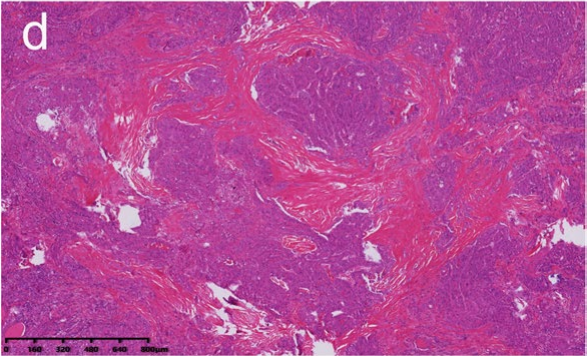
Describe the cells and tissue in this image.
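At low magnification this tumor tissue shows densely packed tumor cells in purple nests and sheets, set within a fibrous stroma. Irregular bright pink bands of collagen-like fibres run through the field and divide the cellular areas into islands of different sizes. The cellular areas are crowded with small dark nuclei and show little intervening space. A few small clear spaces and vessel-like gaps lie scattered within the stroma.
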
